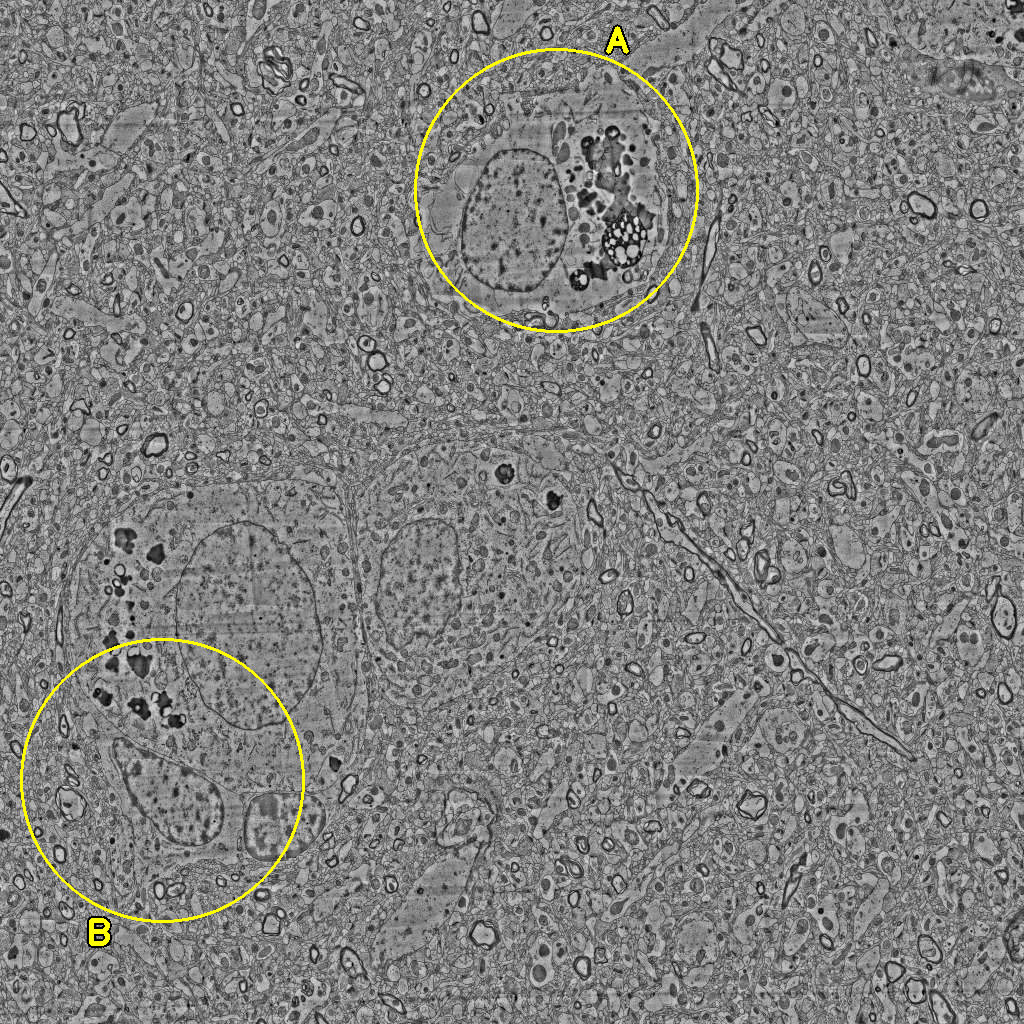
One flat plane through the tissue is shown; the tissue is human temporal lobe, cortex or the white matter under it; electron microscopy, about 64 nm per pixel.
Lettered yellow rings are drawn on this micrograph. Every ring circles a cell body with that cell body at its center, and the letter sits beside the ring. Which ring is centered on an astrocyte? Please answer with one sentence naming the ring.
Ring A has it at its center.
